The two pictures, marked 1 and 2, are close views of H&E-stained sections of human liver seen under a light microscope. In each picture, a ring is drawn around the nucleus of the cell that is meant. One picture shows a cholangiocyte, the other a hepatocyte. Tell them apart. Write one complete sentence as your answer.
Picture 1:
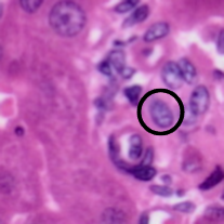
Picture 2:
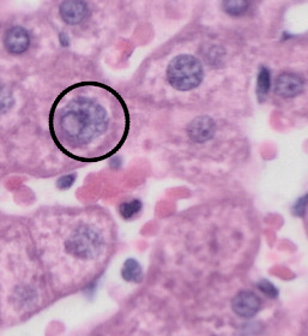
The cell in picture 1 is a cholangiocyte, and the one in picture 2 is a hepatocyte.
